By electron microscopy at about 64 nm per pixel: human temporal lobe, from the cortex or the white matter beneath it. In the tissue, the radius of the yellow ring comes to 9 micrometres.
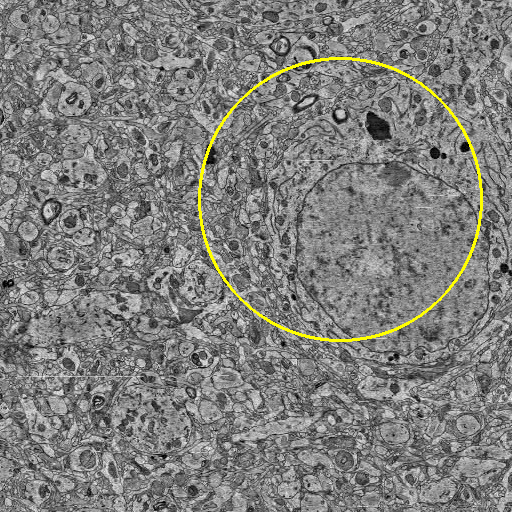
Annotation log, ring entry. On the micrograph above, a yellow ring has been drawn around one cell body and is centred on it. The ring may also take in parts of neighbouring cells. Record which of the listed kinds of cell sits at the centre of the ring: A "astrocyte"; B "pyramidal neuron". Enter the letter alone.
B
